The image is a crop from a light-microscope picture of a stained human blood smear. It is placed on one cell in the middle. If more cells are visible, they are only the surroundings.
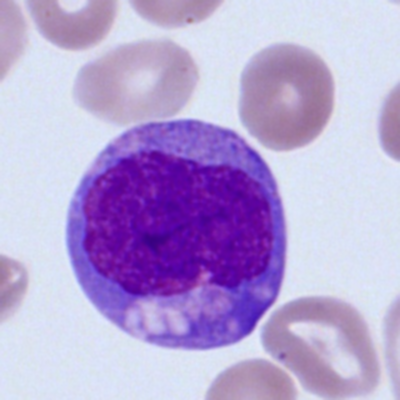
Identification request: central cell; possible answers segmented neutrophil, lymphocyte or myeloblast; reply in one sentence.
The cell at the central position in this crop is a myeloblast.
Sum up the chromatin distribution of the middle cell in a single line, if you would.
There is no coarse clumping; the chromatin stays fine throughout.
